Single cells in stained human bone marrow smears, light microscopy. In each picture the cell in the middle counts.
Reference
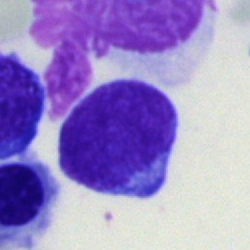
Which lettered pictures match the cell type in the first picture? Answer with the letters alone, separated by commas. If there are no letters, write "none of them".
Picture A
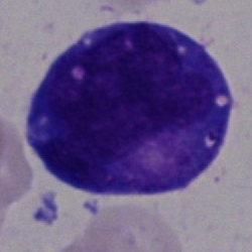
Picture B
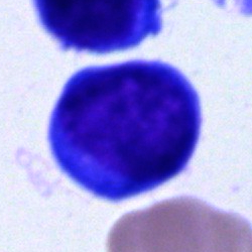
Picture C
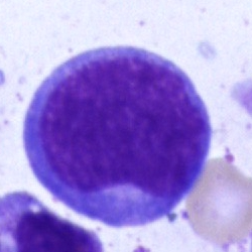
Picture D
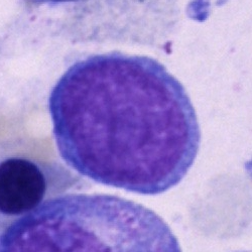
A, B, C, D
